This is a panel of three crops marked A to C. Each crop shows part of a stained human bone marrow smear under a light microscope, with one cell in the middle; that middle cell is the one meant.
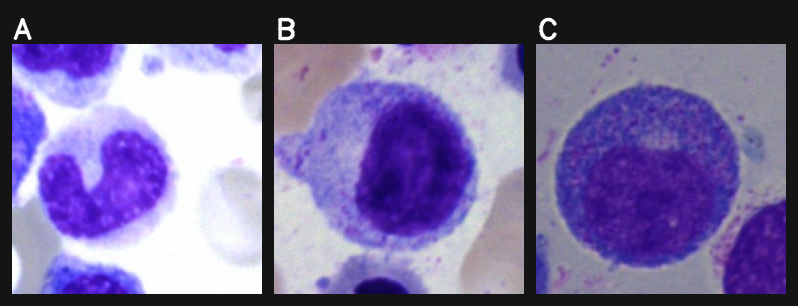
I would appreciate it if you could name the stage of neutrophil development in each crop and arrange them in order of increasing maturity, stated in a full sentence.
The order, going from least to most mature, is crop C (a promyelocyte), crop B (a myelocyte) and crop A (a band neutrophil).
